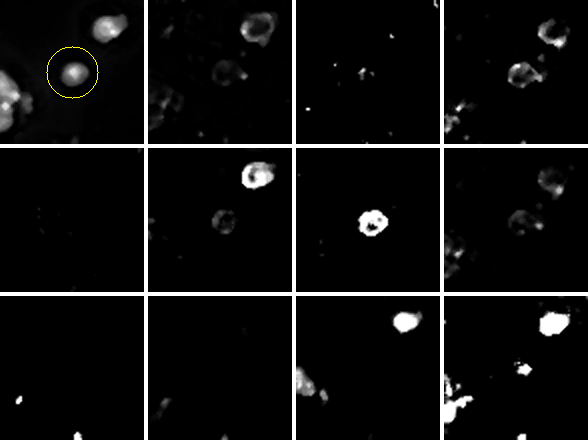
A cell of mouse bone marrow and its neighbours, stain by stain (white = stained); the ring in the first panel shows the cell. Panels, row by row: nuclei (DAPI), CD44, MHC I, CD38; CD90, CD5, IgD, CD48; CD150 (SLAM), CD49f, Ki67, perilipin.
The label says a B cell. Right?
Right.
